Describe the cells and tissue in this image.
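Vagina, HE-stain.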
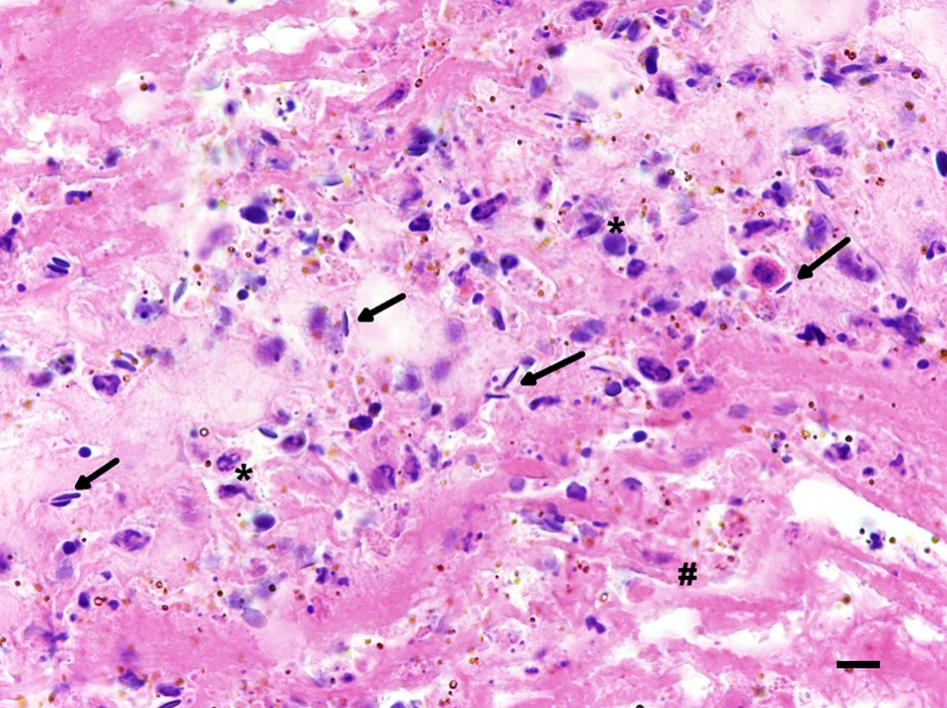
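Loosely scattered cells with irregular, dark purple nuclei lie within a pale pink, streaky to amorphous material, with small golden-brown granules dotted throughout. Among them are many tiny, slender, solid dark-blue oval bodies, much smaller and more uniform than the nuclei. These are inflammatory cells infiltrating a fibrin meshwork, with spermatozoal heads caught within it.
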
